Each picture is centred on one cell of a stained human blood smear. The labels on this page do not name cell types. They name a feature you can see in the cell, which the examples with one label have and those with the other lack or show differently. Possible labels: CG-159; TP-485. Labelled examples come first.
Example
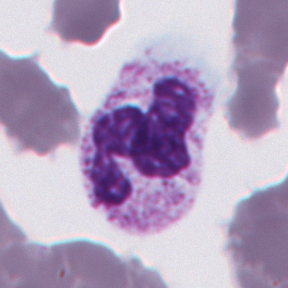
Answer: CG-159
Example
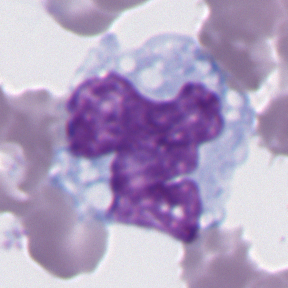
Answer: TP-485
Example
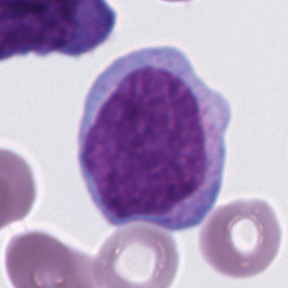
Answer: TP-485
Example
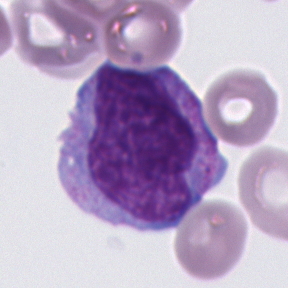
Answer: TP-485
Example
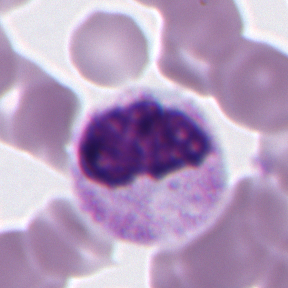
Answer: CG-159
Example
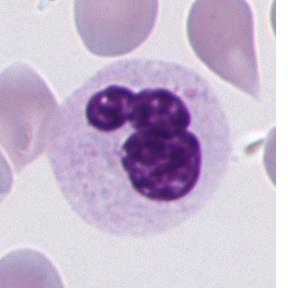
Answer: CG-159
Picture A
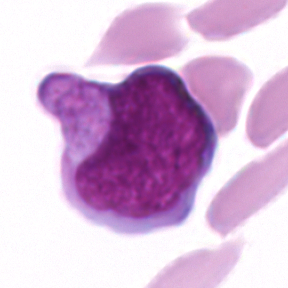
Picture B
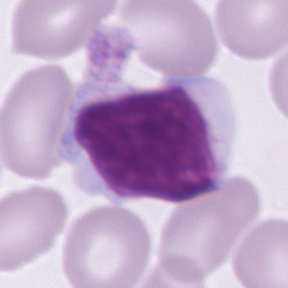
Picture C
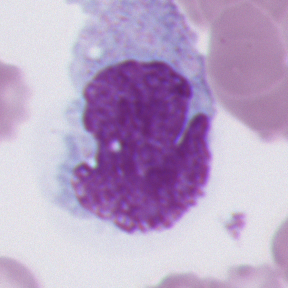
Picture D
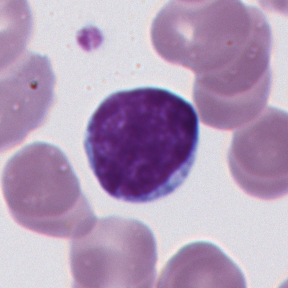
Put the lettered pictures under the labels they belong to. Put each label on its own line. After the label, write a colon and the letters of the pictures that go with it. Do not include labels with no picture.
CG-159: D
TP-485: A, B, C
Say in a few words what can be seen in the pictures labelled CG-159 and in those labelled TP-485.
CG-159: smooth outline; TP-485: ragged outline or projections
